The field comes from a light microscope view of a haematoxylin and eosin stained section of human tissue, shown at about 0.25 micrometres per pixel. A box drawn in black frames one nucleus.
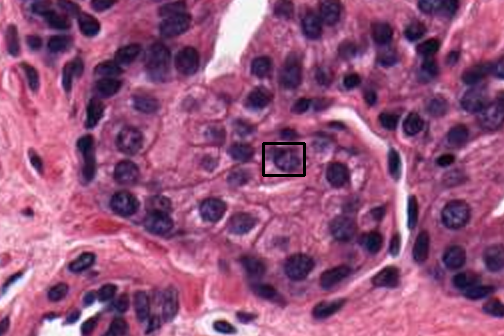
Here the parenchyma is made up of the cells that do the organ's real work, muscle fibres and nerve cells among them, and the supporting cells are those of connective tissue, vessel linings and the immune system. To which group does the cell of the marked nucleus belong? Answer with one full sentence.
The marked nucleus is housed in a parenchymal cell, namely a prostate gland luminal cell.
